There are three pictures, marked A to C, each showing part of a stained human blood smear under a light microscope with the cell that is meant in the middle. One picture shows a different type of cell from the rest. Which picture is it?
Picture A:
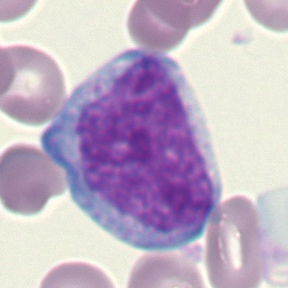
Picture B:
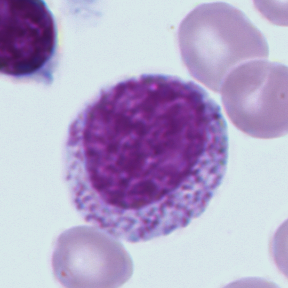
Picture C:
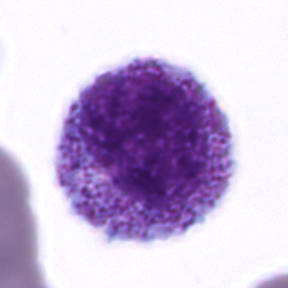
A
